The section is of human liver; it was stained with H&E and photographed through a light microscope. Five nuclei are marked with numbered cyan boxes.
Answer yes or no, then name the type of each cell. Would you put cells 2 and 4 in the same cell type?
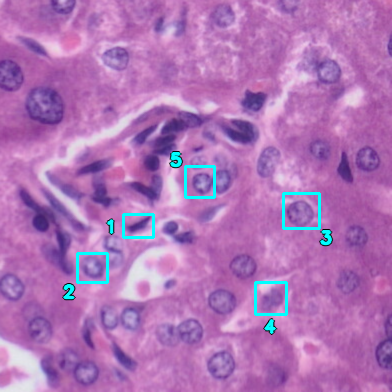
No, a cholangiocyte is what cell 2 is, and a Kupffer cell is what cell 4 is.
